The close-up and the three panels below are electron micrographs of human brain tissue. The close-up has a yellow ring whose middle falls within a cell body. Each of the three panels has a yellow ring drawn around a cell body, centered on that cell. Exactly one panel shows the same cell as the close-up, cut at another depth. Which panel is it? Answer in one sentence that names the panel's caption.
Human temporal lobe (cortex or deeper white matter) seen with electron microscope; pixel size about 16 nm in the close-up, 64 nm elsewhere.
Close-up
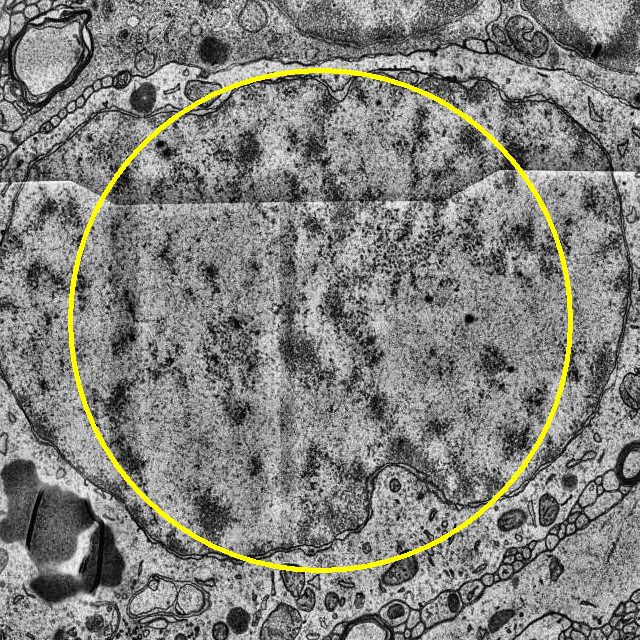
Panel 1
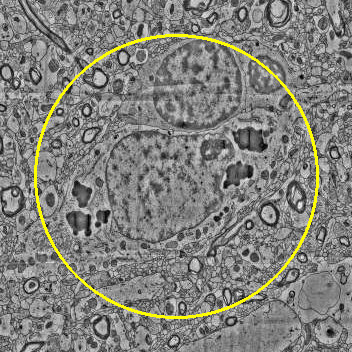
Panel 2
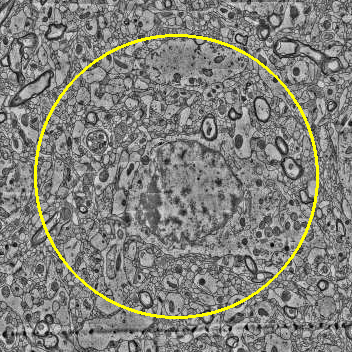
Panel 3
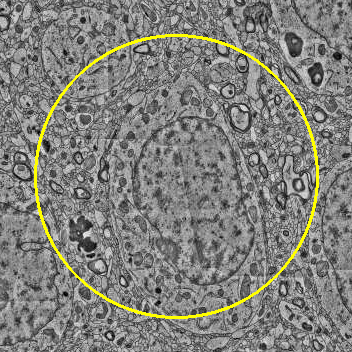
In the close-up, the cell is the one circled within Panel 1.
